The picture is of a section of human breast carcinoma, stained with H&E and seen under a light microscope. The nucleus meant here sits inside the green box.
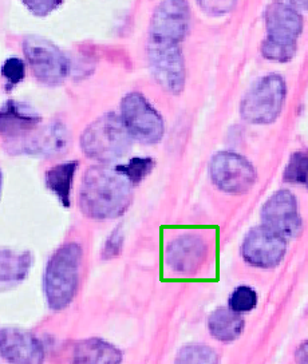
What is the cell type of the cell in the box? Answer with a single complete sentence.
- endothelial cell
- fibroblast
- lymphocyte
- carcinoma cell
Within this tissue, the cell in the box is a carcinoma cell.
